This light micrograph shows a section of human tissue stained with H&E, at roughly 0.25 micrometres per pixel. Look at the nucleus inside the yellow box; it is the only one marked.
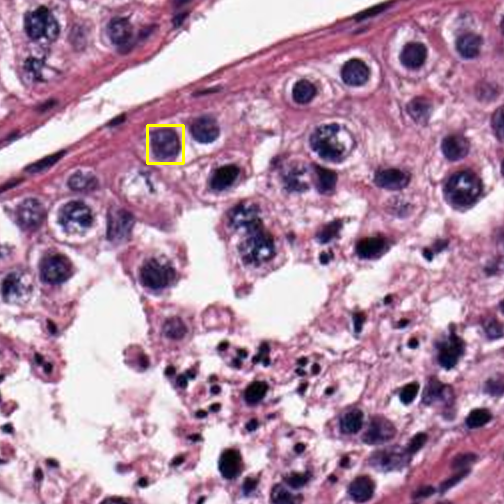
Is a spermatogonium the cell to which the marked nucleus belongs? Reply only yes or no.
yes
